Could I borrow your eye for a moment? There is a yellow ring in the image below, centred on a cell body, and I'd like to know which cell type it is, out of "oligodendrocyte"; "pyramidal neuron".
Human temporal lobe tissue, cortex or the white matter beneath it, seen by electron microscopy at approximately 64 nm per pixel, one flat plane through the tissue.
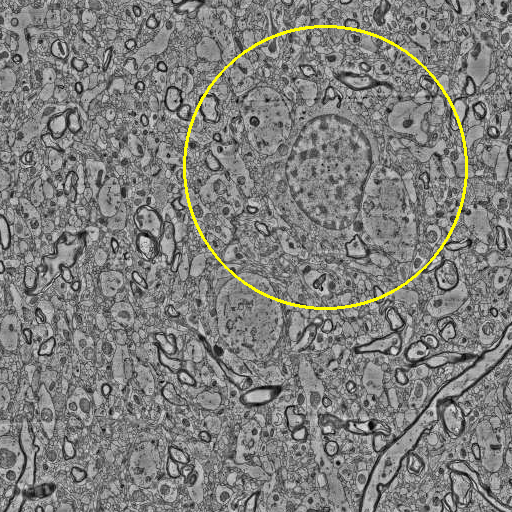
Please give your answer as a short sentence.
The cell body at the centre is that of an oligodendrocyte.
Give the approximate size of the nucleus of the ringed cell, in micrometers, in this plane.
In this plane the nucleus measures roughly 7 by 6 micrometers.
